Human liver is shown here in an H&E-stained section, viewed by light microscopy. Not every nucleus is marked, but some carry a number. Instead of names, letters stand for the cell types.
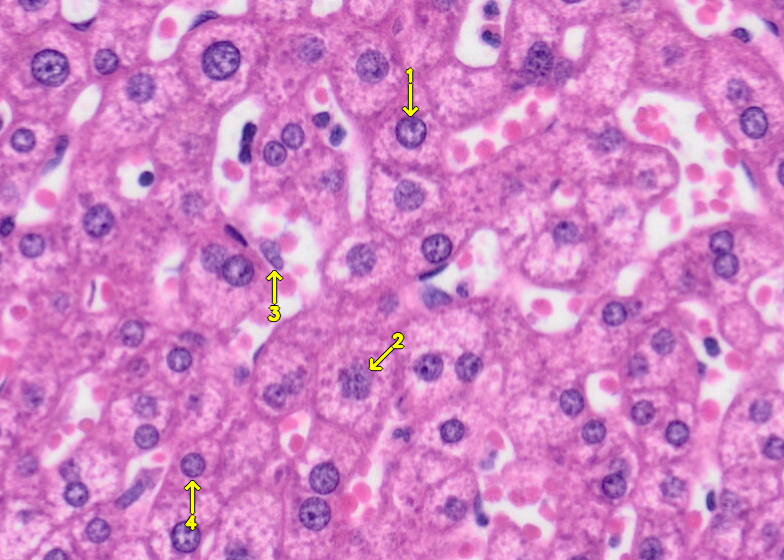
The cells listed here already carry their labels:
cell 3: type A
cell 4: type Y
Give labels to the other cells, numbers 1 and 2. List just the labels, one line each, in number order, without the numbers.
type Y
type Y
